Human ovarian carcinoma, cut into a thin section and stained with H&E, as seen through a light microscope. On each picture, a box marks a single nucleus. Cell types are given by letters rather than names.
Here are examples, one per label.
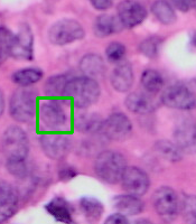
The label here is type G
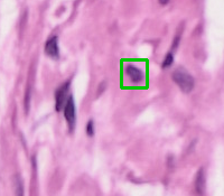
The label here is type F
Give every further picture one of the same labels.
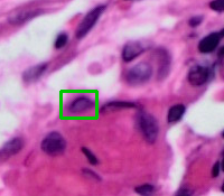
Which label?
type F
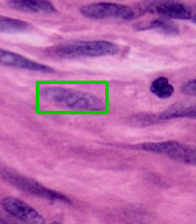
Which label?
type F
